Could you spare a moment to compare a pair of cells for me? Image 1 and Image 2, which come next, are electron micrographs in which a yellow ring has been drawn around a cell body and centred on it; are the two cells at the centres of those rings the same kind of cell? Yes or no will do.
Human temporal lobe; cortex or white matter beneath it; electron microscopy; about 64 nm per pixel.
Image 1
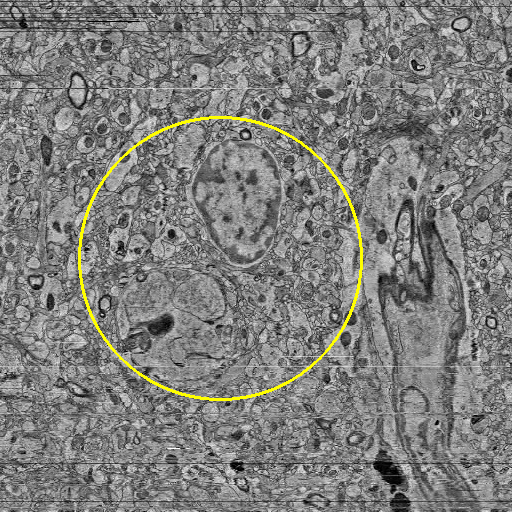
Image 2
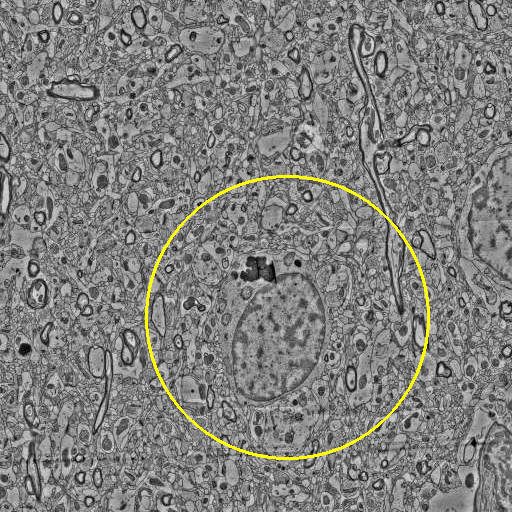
no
